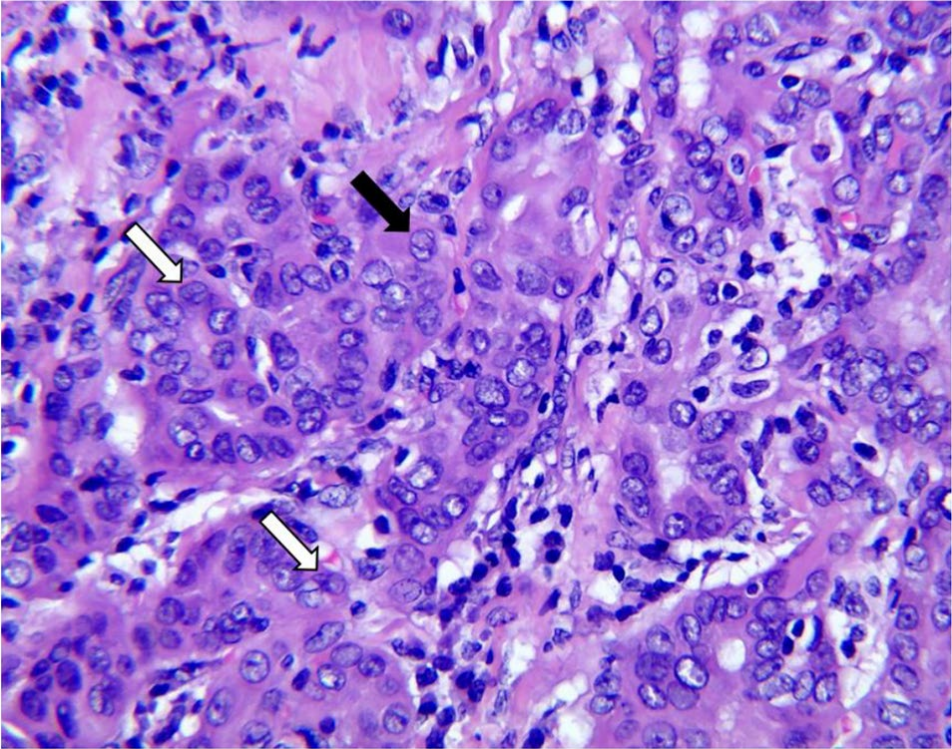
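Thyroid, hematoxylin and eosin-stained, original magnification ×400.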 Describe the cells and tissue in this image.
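The tumour cells have pink cytoplasm and large oval nuclei that crowd together and overlap. Some nuclei show a fine lengthwise groove, and now and then one holds a rounded, paler area within it. The small, dark, elongated nuclei in the stroma between the nests stand out sharply against the pale tumour nuclei.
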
